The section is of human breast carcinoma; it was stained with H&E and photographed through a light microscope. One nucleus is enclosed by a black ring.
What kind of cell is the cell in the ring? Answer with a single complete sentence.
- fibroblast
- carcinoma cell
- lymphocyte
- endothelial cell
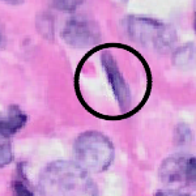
As a matter of cell type, the cell in the ring is an endothelial cell.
